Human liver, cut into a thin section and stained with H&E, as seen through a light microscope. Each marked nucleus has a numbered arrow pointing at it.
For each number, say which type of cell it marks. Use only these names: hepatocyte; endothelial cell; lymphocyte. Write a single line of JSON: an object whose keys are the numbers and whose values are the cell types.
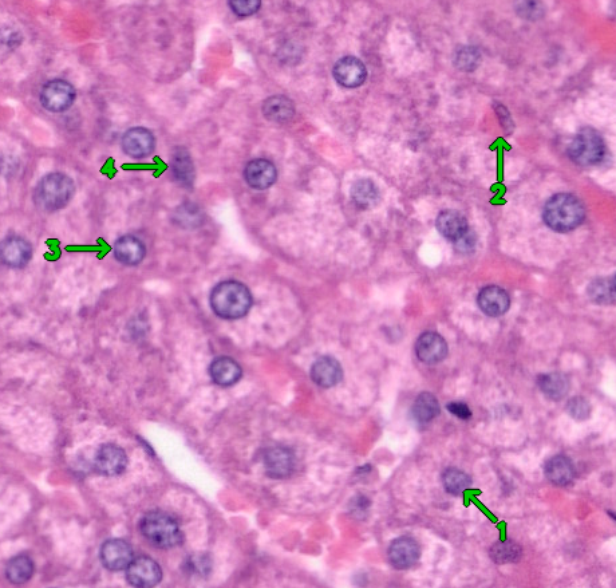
{"1": "hepatocyte", "2": "endothelial cell", "3": "hepatocyte", "4": "endothelial cell"}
